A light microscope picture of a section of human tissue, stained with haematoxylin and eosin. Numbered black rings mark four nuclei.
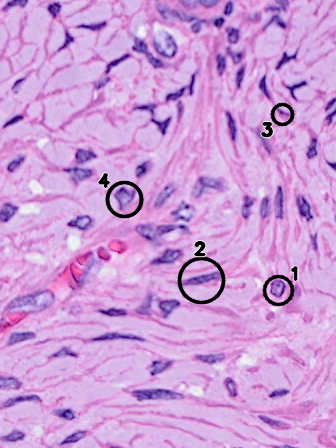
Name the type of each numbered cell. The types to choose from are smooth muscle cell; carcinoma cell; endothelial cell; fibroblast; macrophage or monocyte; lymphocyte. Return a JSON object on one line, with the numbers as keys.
{"1": "macrophage or monocyte", "2": "fibroblast", "3": "fibroblast", "4": "fibroblast"}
